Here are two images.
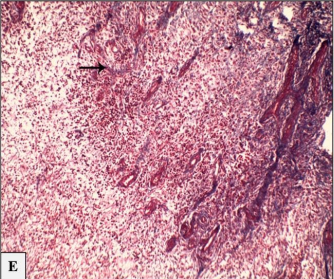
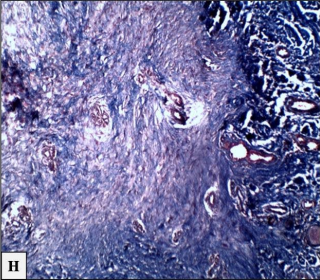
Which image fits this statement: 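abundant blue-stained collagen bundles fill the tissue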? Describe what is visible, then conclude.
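Second image: most of the field is blue-stained fibrous tissue in bundles.
Hence: the second image.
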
